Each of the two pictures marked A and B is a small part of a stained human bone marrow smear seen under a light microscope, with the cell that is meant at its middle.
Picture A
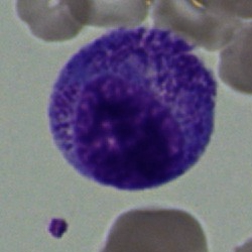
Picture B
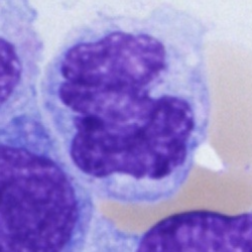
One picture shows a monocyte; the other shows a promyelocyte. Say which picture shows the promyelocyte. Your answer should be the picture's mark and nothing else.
A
